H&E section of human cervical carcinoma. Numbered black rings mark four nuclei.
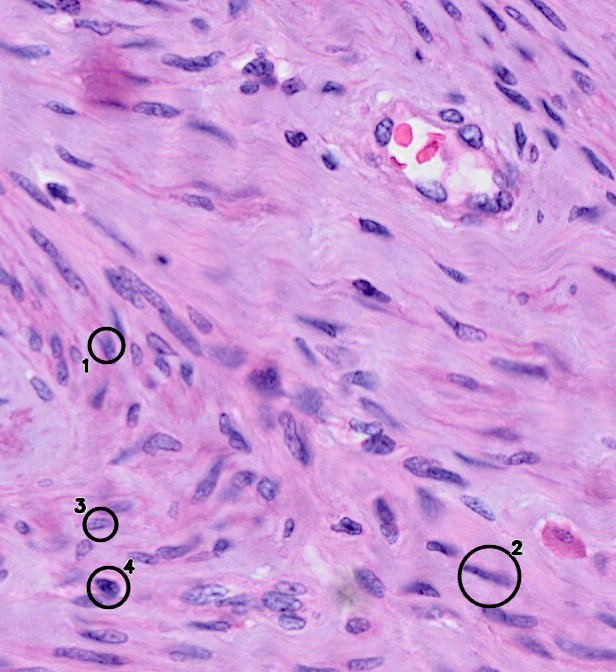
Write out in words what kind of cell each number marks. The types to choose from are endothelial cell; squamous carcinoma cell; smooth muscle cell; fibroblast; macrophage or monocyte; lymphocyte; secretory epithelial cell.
Cell 1 is a smooth muscle cell, cell 2 is a fibroblast, cell 3 is a smooth muscle cell and cell 4 is a lymphocyte.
